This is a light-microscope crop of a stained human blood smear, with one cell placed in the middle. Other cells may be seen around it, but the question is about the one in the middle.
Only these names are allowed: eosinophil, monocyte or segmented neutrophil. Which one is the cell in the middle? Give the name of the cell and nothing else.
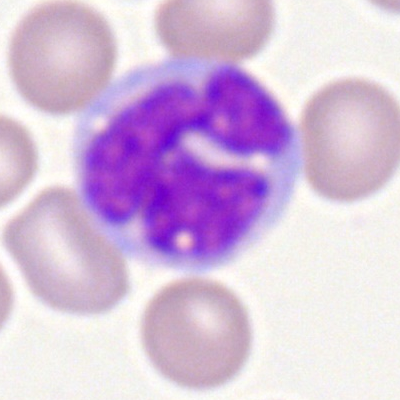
monocyte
